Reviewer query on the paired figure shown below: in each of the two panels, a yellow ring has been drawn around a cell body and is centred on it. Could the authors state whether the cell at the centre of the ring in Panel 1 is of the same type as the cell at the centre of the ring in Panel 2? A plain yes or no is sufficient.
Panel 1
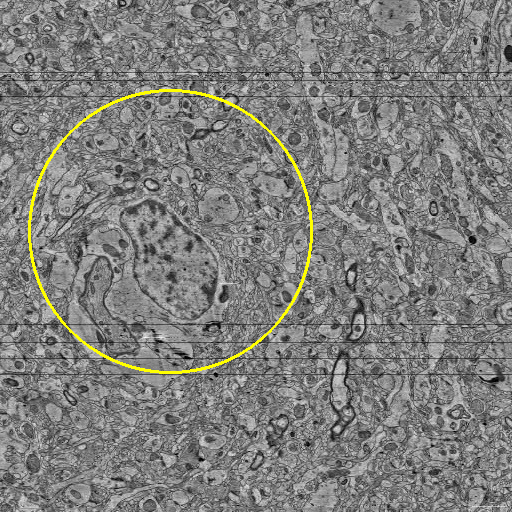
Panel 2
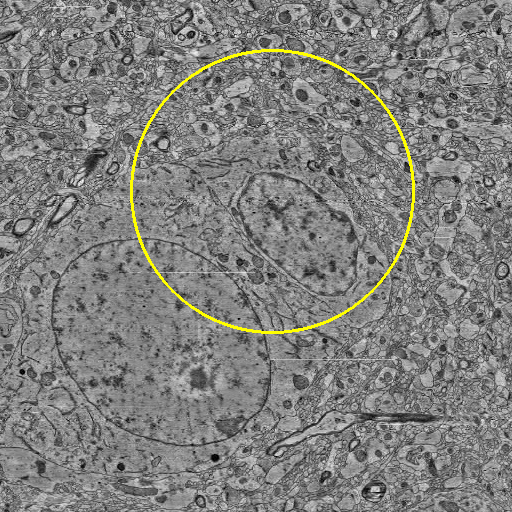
yes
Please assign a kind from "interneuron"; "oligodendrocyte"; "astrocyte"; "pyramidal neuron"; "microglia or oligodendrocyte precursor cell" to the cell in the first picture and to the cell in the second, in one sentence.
Each of the two rings is centred on a microglial cell or oligodendrocyte precursor cell.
